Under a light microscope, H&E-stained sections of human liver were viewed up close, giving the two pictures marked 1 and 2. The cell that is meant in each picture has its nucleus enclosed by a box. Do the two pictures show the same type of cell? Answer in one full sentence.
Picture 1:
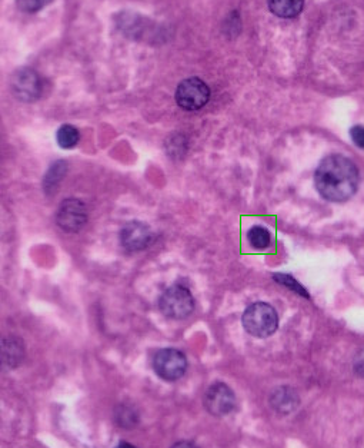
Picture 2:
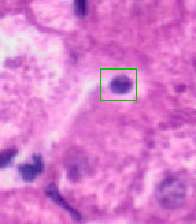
Yes, both cells are lymphocytes.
